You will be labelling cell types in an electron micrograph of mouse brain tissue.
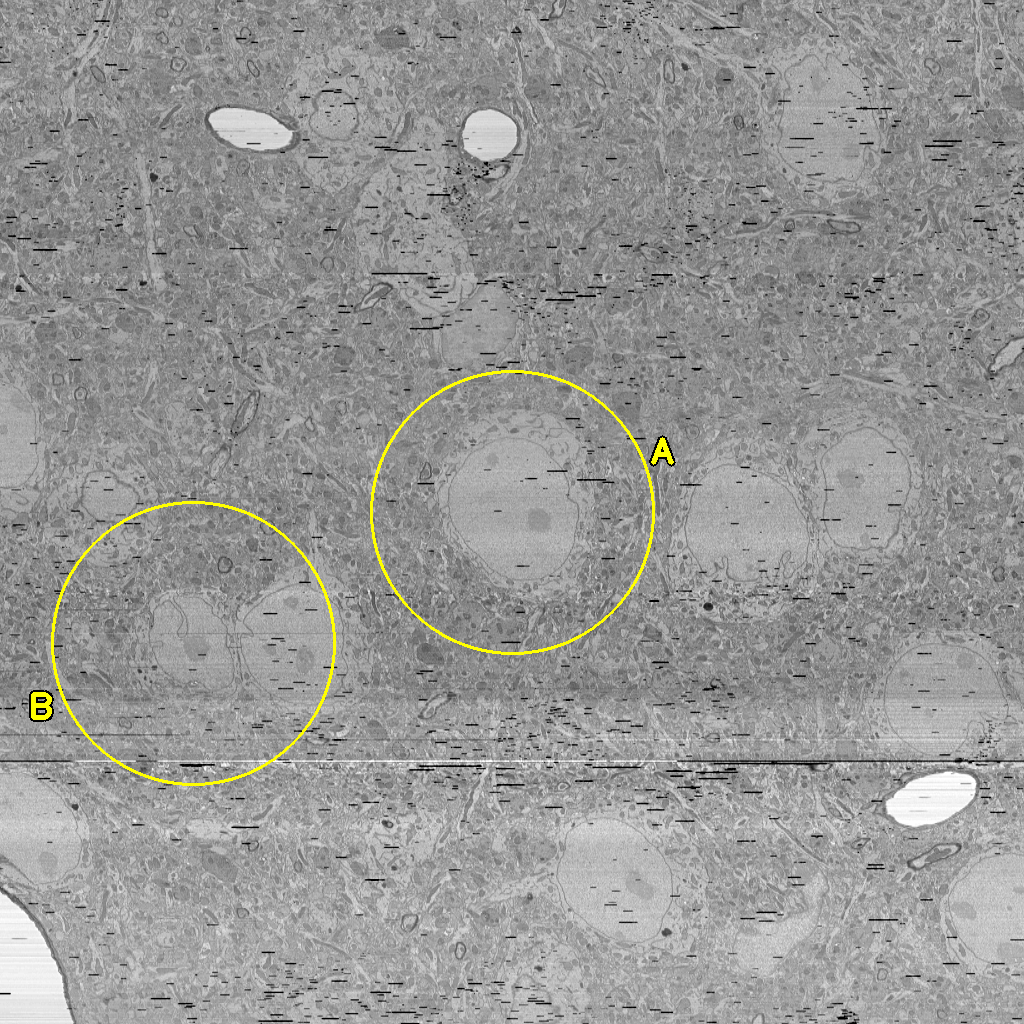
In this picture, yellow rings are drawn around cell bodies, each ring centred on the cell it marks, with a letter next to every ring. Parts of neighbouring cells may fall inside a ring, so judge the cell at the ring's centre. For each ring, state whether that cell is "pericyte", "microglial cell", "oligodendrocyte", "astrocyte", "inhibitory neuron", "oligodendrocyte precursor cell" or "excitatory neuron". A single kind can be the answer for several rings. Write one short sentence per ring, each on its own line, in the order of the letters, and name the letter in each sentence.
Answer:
Ring A contains an excitatory neuron at its centre.
Ring B contains an inhibitory neuron at its centre.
